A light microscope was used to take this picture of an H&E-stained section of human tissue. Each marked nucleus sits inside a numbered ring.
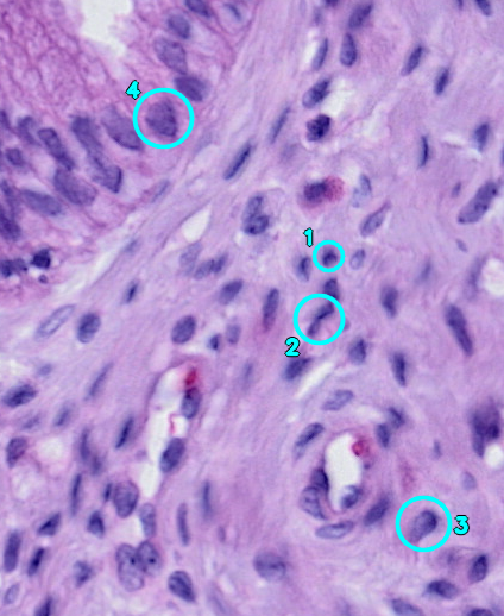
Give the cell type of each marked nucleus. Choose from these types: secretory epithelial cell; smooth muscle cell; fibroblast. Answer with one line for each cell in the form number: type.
1: fibroblast
2: fibroblast
3: fibroblast
4: secretory epithelial cell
